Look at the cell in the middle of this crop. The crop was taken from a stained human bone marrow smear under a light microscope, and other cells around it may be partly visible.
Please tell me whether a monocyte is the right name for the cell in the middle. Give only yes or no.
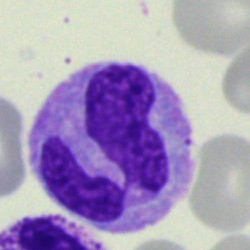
yes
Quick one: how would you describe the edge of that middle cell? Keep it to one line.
You can see a smooth boundary, with no projections sticking out.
